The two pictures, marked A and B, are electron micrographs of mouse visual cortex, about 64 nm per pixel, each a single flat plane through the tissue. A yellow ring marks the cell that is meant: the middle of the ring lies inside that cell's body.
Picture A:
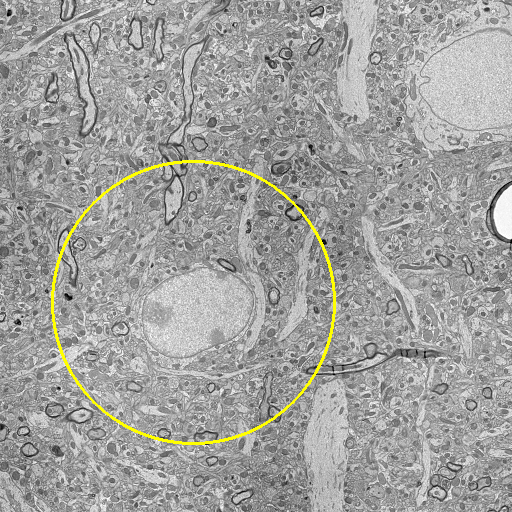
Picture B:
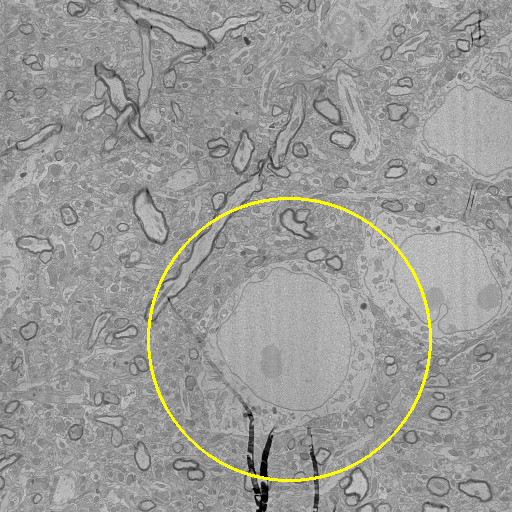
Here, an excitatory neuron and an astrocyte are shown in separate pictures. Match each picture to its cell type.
The cell in picture A is an astrocyte, and the one in picture B is an excitatory neuron.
